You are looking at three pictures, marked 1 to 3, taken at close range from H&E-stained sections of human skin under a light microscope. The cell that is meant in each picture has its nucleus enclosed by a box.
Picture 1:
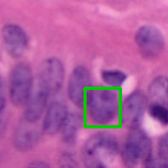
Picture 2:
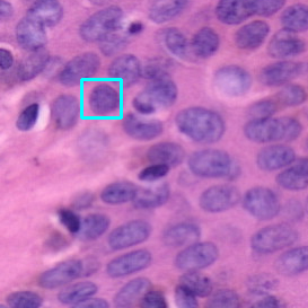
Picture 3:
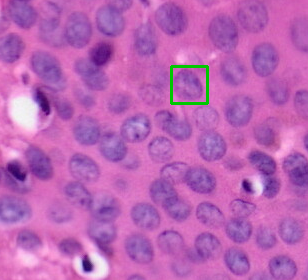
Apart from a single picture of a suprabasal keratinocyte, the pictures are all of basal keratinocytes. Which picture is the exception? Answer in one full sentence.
The suprabasal keratinocyte is the one in picture 3.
